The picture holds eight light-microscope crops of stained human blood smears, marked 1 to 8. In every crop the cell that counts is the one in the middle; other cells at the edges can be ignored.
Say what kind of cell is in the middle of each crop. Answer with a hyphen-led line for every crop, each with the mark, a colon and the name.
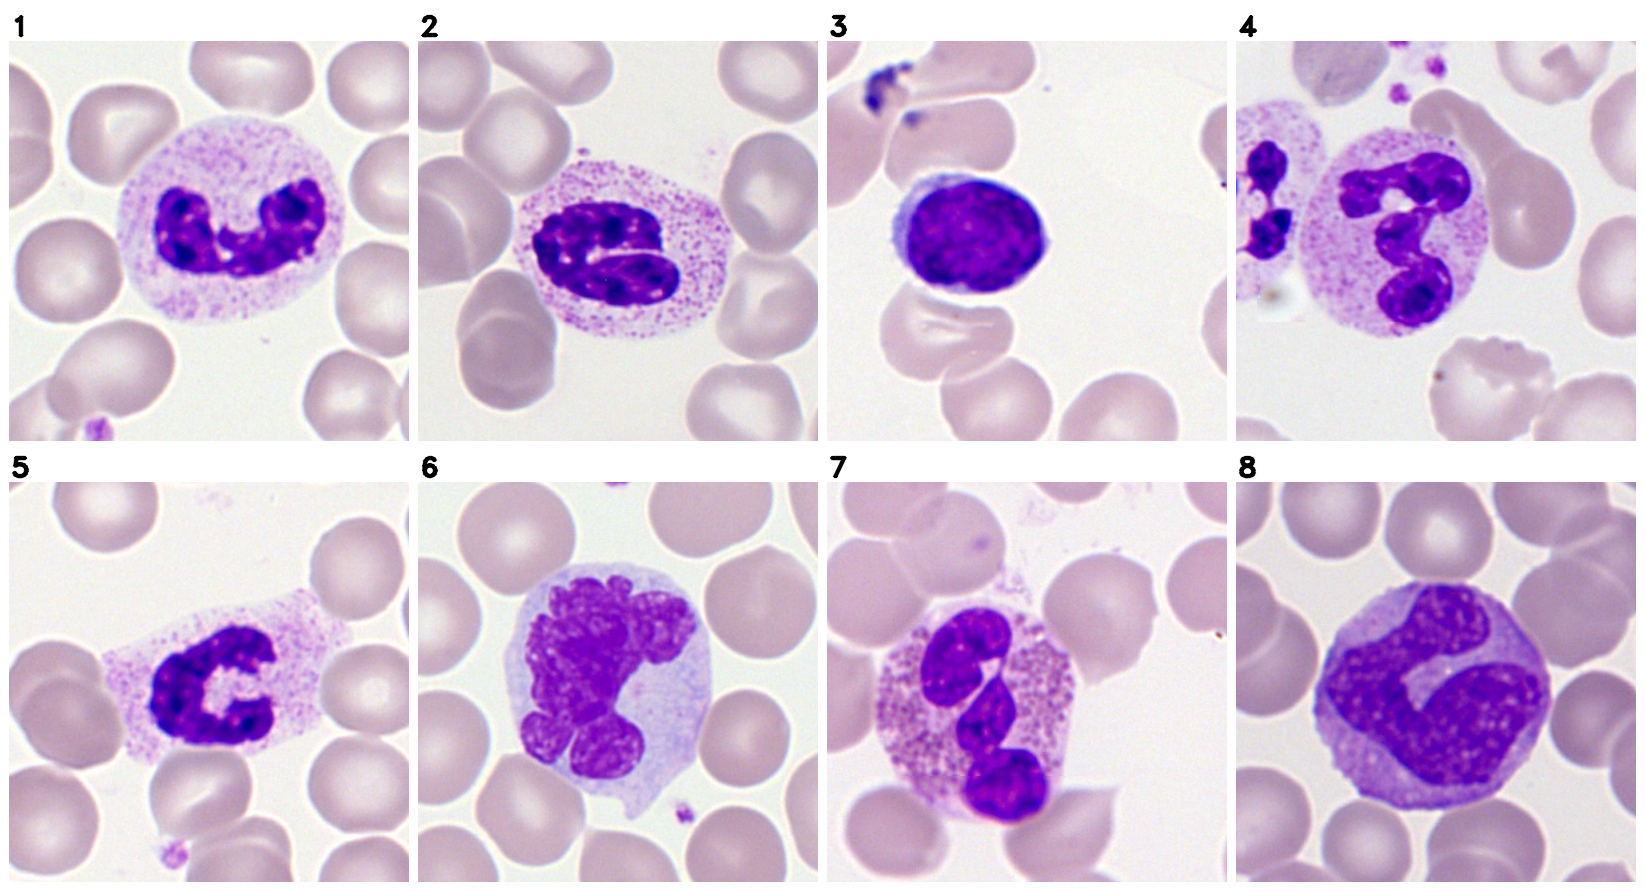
- 1: band neutrophil
- 2: band neutrophil
- 3: lymphocyte
- 4: segmented neutrophil
- 5: band neutrophil
- 6: monocyte
- 7: eosinophil
- 8: monocyte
